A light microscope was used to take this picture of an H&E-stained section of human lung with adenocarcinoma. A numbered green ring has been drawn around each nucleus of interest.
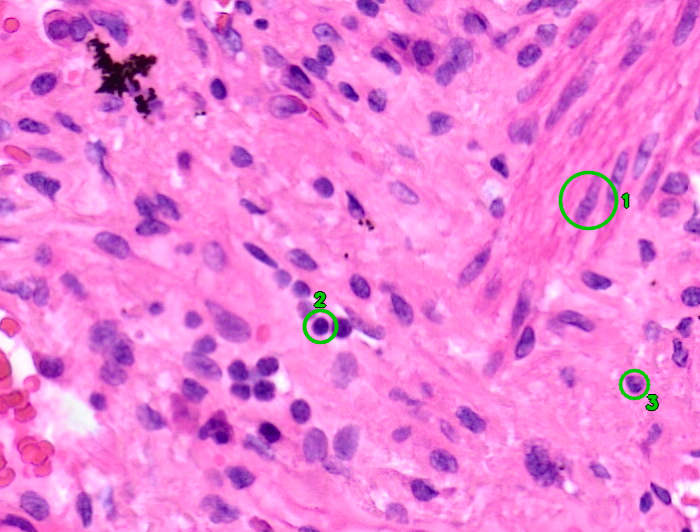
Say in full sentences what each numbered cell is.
Cell 1 is a smooth muscle cell or pericyte, cell 2 is a lymphocyte and cell 3 is a mast cell.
